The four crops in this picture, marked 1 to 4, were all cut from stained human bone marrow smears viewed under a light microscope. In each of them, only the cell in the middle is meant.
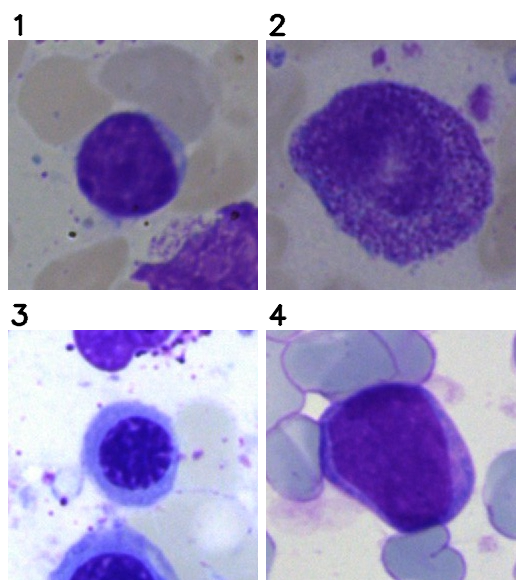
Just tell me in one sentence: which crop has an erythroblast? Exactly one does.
Crop 3 is the crop that shows an erythroblast in its middle.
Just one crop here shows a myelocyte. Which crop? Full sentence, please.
The one that shows a myelocyte is crop 2.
